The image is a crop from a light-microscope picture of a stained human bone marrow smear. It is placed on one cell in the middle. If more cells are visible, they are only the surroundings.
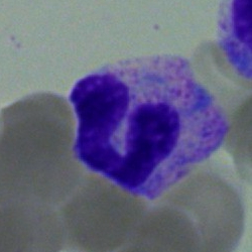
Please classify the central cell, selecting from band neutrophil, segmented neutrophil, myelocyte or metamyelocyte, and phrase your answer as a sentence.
The centrally placed cell is classified as a segmented neutrophil.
